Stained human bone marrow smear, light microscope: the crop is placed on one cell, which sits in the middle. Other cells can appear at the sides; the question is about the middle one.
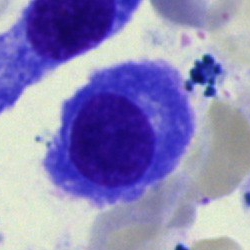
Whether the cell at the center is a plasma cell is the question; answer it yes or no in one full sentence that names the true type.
Yes, the cell at the middle is a plasma cell.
